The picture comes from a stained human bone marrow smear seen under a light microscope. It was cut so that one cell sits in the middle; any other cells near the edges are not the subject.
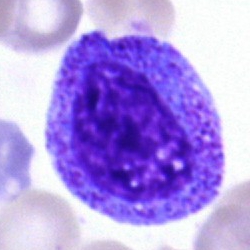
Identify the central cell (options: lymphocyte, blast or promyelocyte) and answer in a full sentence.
In the crop, the cell of interest at the centre is a promyelocyte.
